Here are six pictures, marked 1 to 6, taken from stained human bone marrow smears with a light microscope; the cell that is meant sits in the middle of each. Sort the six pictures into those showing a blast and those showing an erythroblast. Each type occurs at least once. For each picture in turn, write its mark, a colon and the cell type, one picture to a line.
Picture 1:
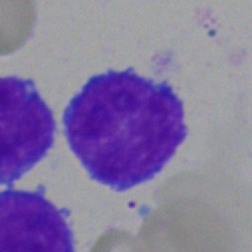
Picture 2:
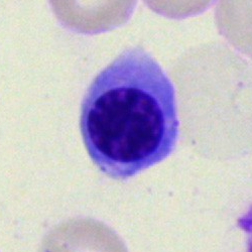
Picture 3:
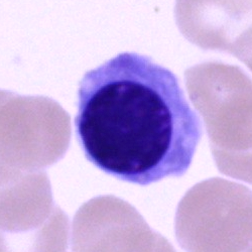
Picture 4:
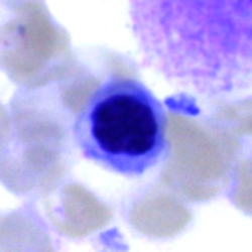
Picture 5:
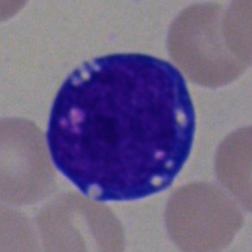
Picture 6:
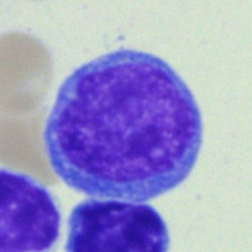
1: blast
2: erythroblast
3: erythroblast
4: erythroblast
5: blast
6: blast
